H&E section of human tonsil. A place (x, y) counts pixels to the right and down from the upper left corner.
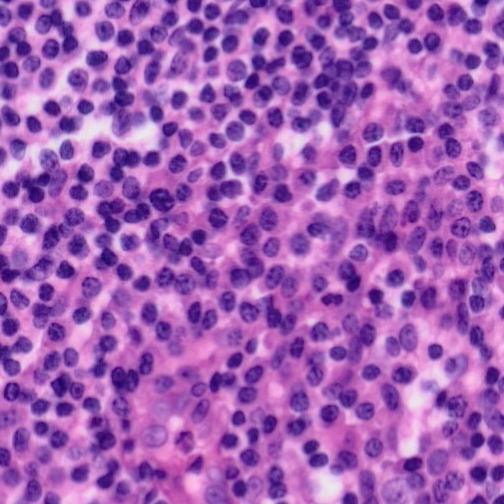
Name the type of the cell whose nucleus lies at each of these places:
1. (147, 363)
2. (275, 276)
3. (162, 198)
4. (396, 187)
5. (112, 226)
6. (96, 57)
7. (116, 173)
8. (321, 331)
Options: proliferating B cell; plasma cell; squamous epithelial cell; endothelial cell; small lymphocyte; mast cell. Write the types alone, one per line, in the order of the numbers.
plasma cell
plasma cell
plasma cell
plasma cell
small lymphocyte
small lymphocyte
small lymphocyte
plasma cell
